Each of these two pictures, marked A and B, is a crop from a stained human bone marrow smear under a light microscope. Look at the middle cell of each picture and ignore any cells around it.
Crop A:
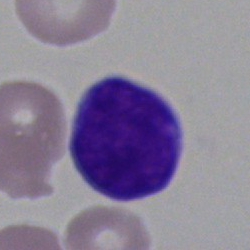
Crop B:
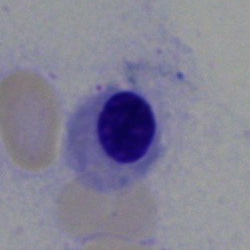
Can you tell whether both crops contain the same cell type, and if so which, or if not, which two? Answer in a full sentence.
No, crop A shows a blast and crop B shows an erythroblast.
